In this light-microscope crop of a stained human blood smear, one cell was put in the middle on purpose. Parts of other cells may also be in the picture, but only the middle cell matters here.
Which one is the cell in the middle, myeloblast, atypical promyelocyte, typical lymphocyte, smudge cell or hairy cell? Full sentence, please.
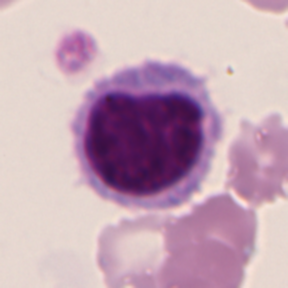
Here the cell in the middle is a hairy cell.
